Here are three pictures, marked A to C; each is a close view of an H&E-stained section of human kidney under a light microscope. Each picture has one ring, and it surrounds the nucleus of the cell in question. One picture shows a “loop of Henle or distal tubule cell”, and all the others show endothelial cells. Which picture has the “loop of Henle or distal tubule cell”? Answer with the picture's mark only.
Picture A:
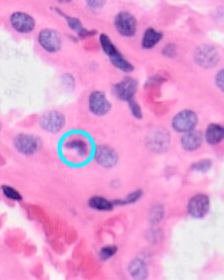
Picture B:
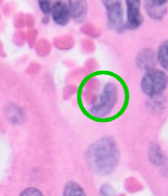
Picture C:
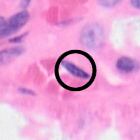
A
